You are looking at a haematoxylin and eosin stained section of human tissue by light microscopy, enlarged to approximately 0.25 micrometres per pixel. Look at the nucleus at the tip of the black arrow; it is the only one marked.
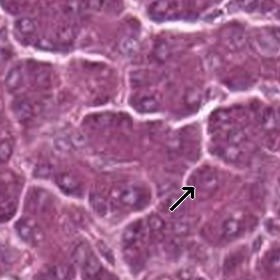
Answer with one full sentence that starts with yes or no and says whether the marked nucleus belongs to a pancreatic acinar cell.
Yes, the marked nucleus sits in a pancreatic acinar cell.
